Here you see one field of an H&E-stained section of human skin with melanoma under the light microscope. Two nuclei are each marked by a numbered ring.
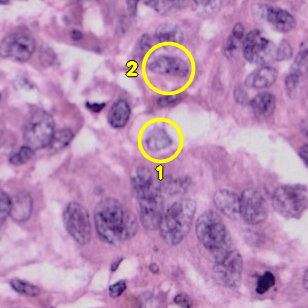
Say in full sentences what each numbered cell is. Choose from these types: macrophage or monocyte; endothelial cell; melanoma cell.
Cell 1 is a macrophage or monocyte. Cell 2 is a melanoma cell.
